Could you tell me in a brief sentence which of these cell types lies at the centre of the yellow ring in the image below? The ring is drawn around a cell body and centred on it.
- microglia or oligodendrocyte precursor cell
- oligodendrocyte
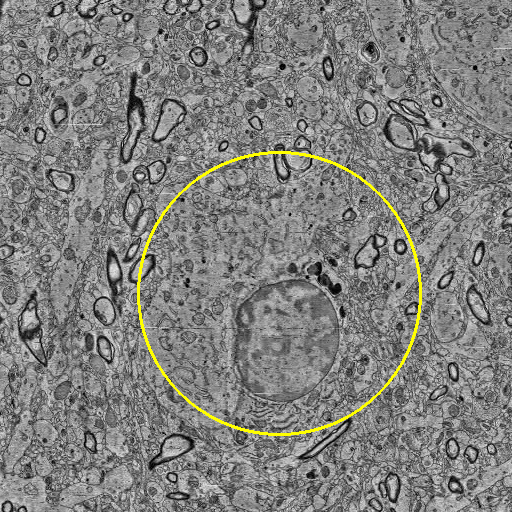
The cell centred in the ring is a microglial cell or oligodendrocyte precursor cell.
